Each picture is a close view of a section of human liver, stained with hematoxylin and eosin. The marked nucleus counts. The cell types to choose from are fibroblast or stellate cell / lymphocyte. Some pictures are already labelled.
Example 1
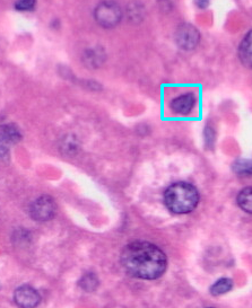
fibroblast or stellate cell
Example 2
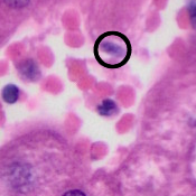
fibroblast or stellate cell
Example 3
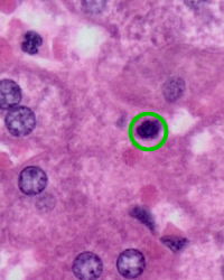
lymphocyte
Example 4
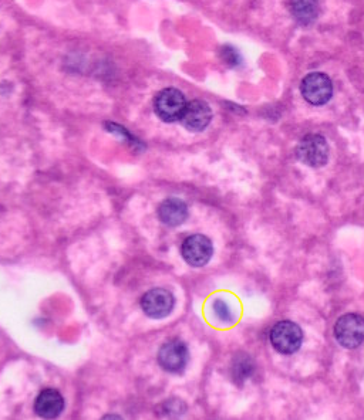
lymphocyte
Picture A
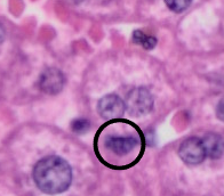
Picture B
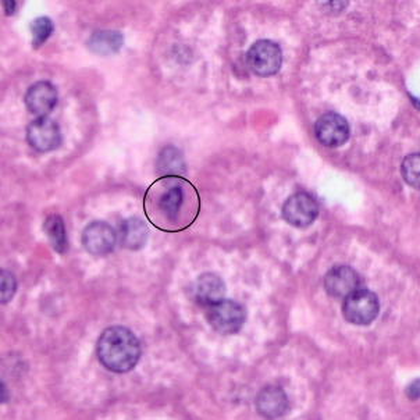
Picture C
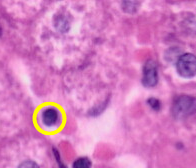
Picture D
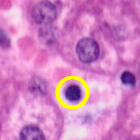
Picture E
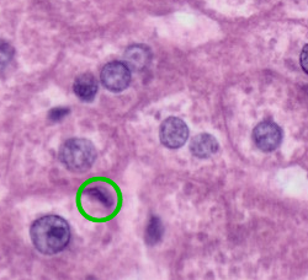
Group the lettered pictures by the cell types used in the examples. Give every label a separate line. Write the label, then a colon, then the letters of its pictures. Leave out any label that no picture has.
fibroblast or stellate cell: A, B, E
lymphocyte: C, D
